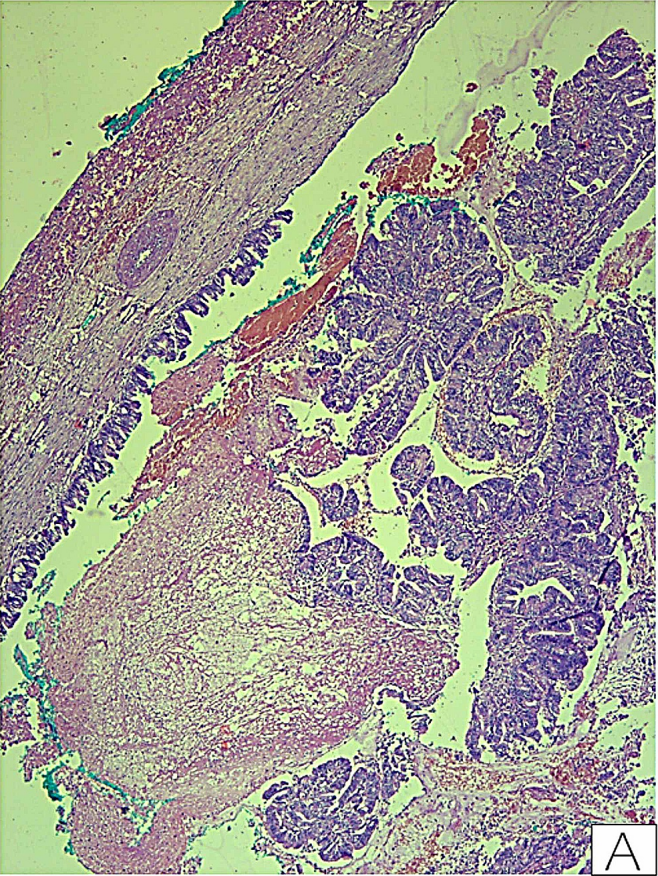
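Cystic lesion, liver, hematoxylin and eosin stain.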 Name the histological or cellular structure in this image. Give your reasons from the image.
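Complex papillary processes. Branching fronds of purple-staining epithelium fill the right half of the field. Thin fibrovascular cores are covered by dark-nucleated epithelial cells.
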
